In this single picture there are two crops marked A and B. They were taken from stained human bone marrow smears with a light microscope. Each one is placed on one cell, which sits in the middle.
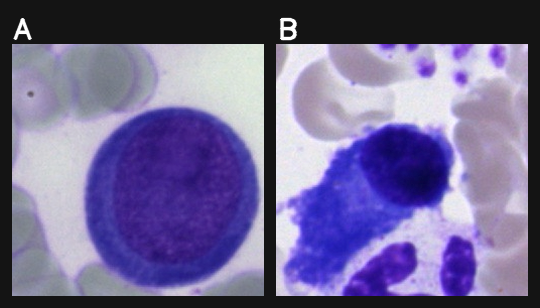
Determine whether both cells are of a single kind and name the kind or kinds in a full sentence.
No, crop A is where a proerythroblast is, and crop B is where a plasma cell is.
